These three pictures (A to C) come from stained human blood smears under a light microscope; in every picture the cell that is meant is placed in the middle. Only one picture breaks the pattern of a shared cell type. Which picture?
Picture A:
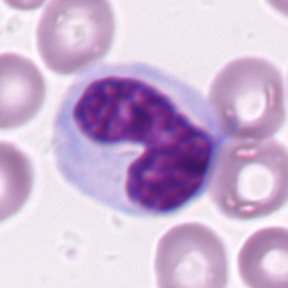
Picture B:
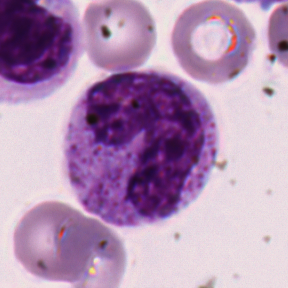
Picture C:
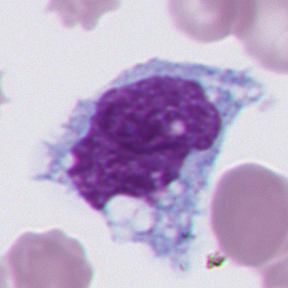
C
